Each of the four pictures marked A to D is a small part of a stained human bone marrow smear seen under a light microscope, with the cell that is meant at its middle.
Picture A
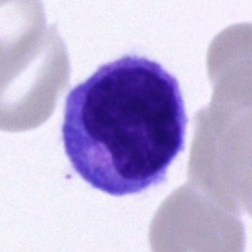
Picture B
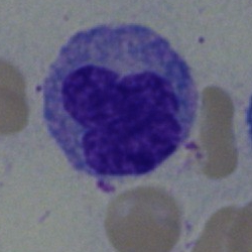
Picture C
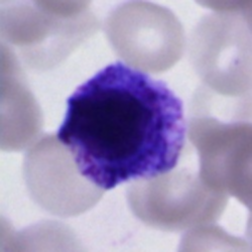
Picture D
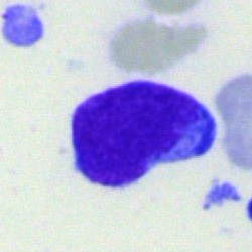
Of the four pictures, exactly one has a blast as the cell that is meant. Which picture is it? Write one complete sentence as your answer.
Picture D shows the blast.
